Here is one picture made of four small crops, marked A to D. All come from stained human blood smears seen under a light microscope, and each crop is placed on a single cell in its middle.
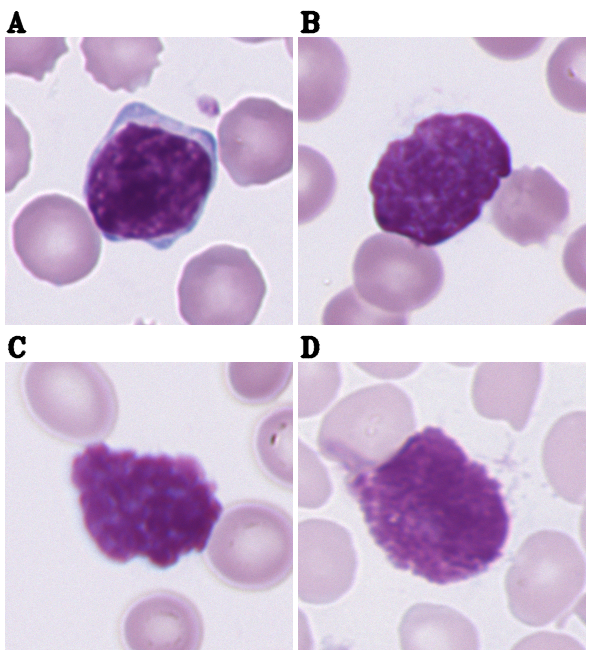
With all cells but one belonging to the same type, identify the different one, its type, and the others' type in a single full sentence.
Of all the crops, only crop A shows a typical lymphocyte; the others show smudge cells.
